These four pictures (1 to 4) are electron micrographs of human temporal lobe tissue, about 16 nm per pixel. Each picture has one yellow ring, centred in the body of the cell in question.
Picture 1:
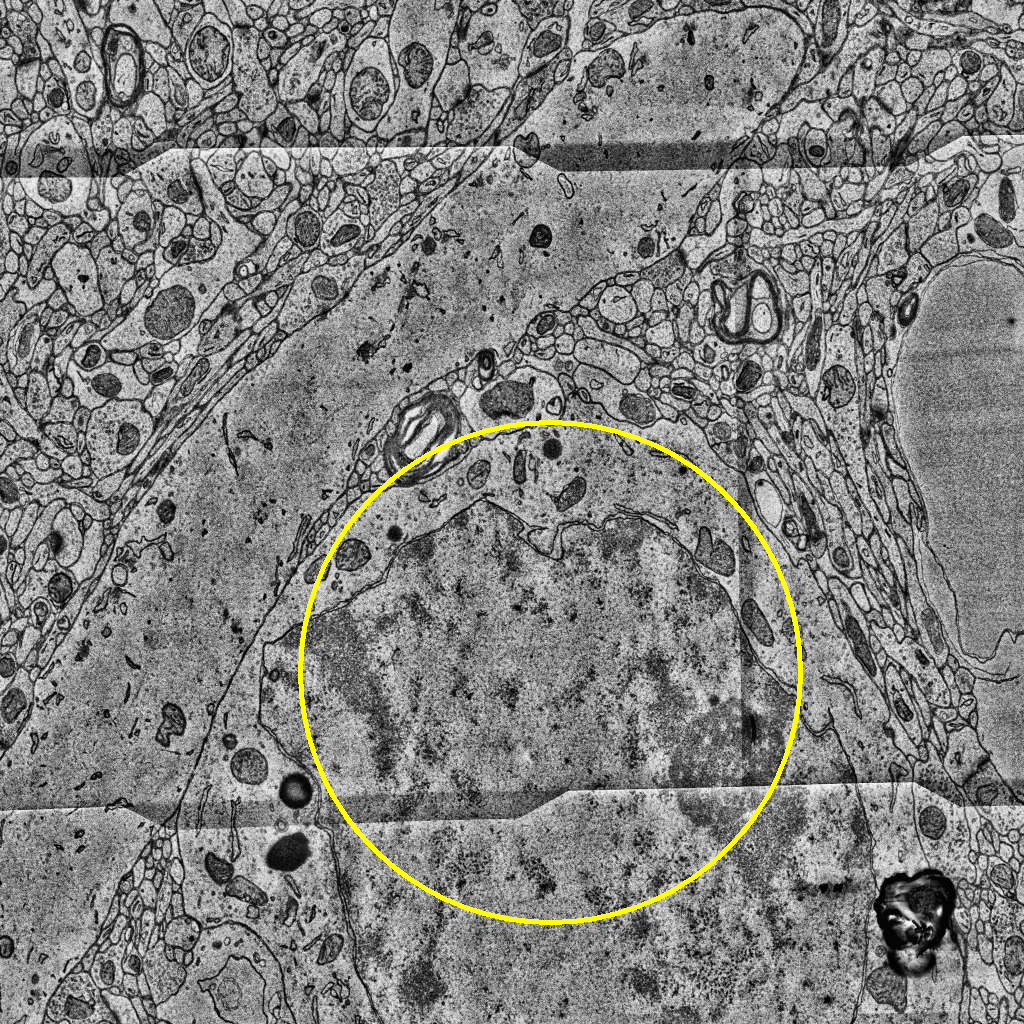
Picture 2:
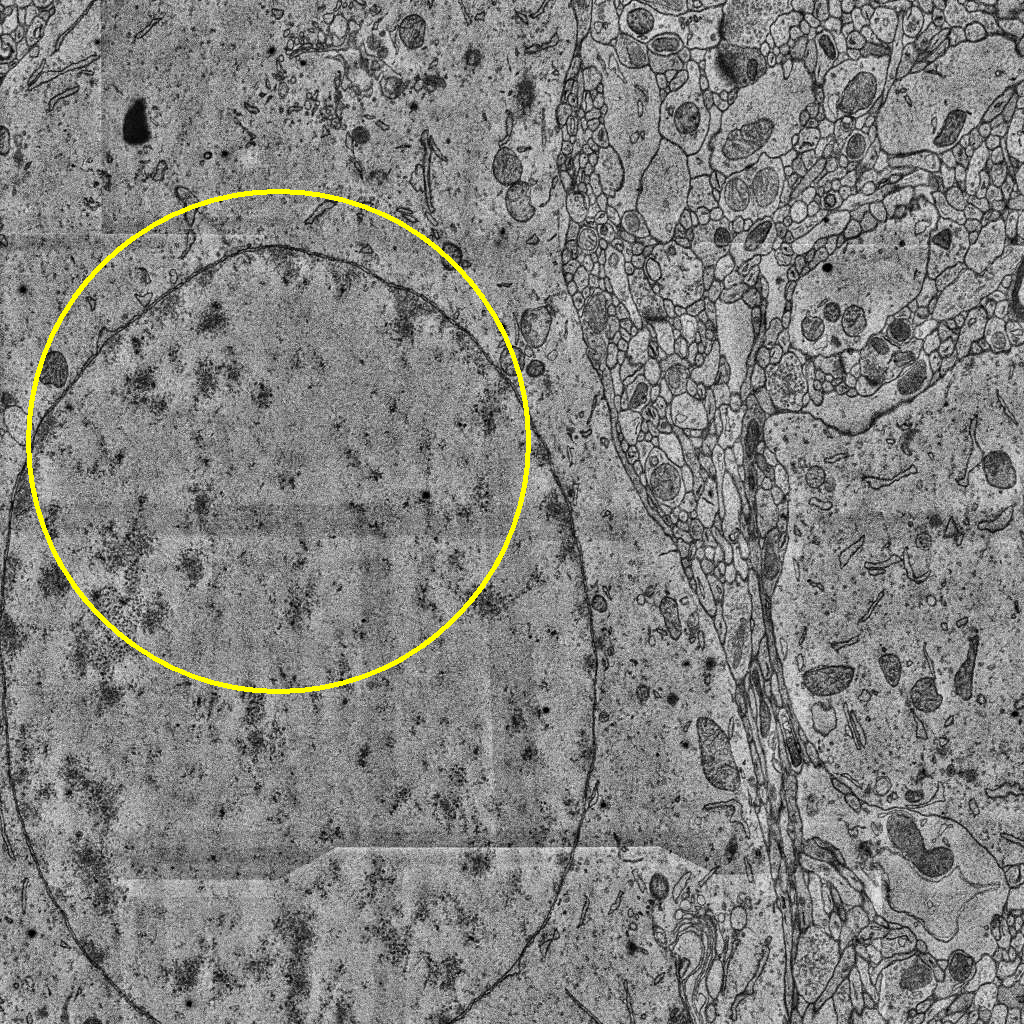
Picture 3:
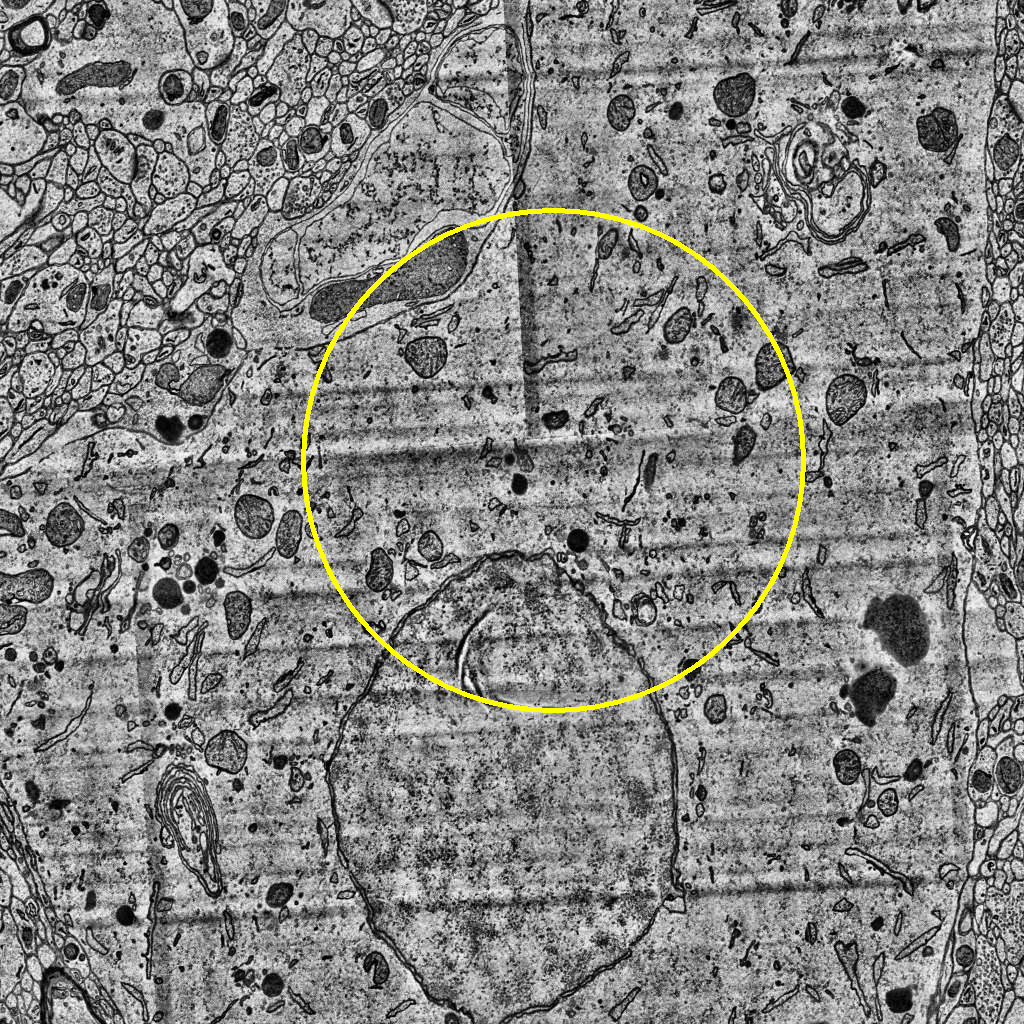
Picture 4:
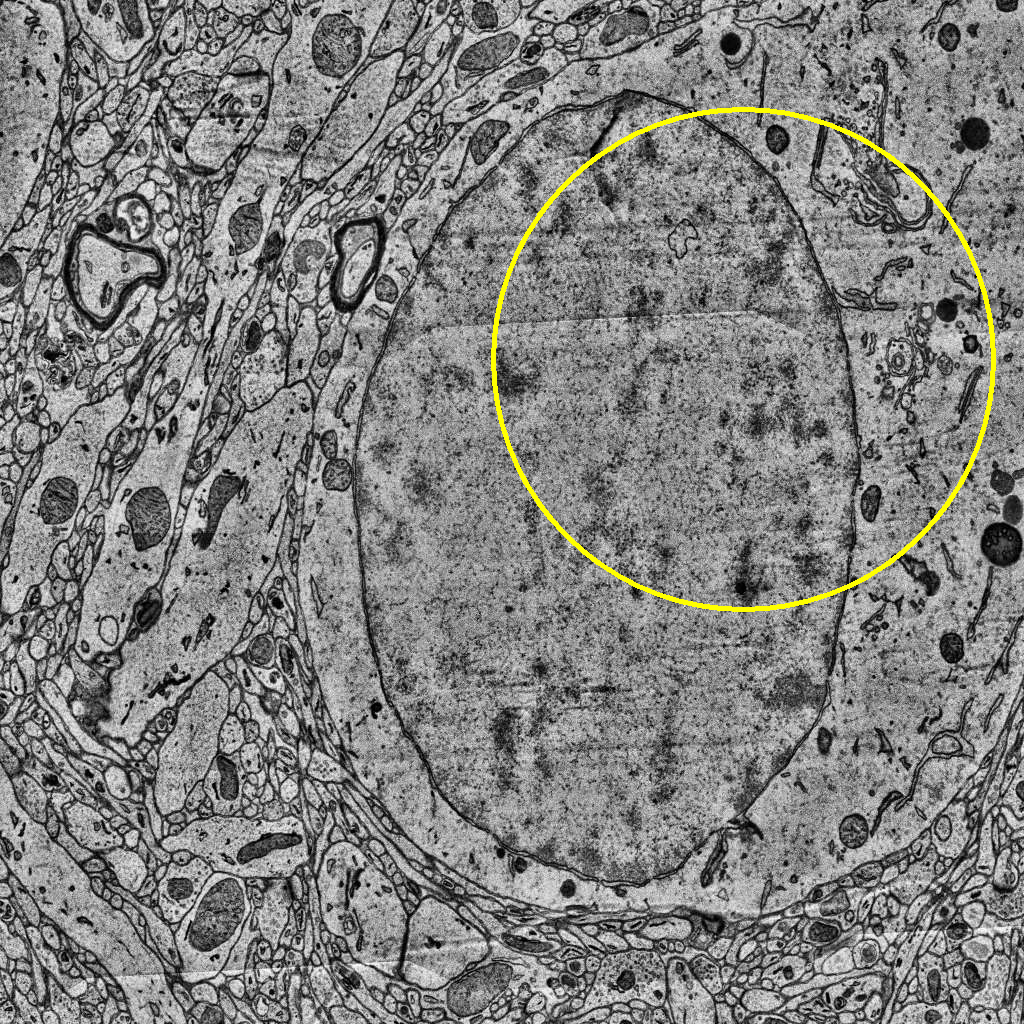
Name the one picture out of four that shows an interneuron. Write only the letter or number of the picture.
1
